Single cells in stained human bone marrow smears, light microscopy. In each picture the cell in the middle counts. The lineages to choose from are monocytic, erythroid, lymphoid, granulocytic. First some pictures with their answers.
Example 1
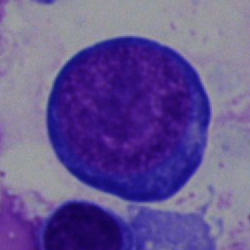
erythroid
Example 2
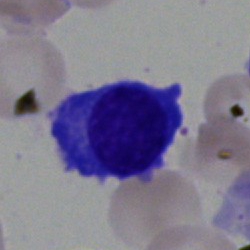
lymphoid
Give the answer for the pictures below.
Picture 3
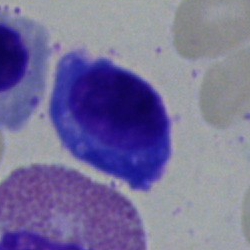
lymphoid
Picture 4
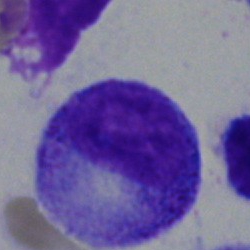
granulocytic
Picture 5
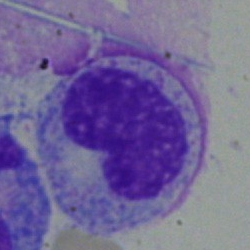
granulocytic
